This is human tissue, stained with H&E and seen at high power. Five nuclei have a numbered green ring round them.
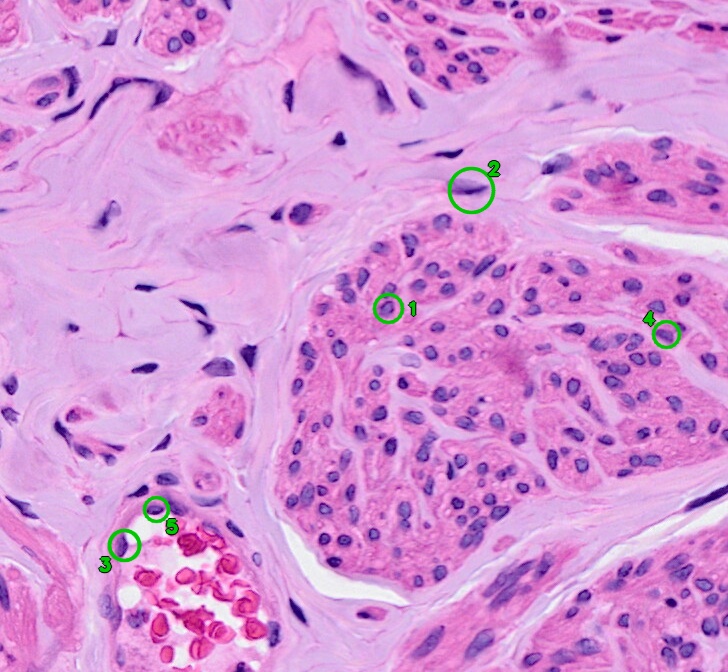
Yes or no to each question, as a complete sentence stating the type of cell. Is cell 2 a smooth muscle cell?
No; cell 2 is a fibroblast, not a smooth muscle cell.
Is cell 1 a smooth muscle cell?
Yes, cell 1 among the marked cells is a smooth muscle cell.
